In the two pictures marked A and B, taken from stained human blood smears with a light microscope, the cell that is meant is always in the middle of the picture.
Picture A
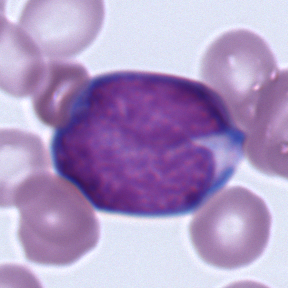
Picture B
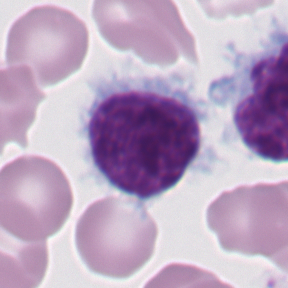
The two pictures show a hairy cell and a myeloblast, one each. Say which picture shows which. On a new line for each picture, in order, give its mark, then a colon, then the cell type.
A: myeloblast
B: hairy cell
